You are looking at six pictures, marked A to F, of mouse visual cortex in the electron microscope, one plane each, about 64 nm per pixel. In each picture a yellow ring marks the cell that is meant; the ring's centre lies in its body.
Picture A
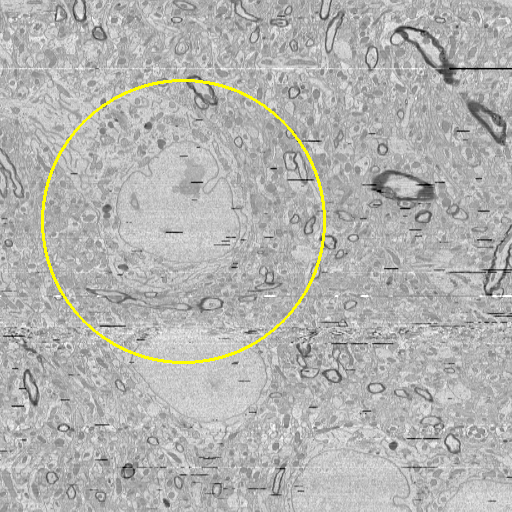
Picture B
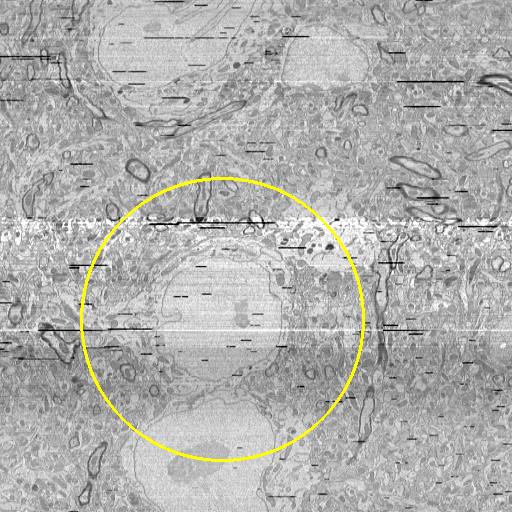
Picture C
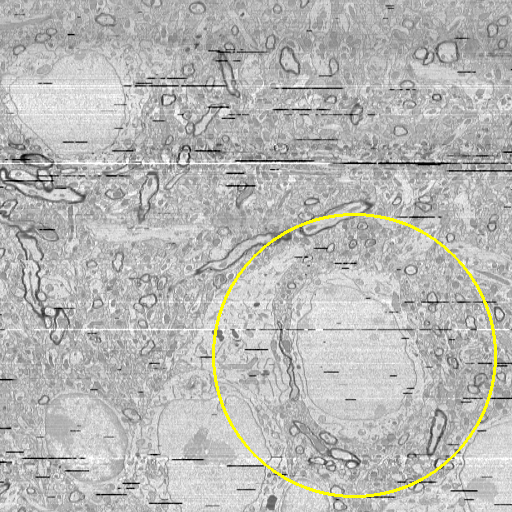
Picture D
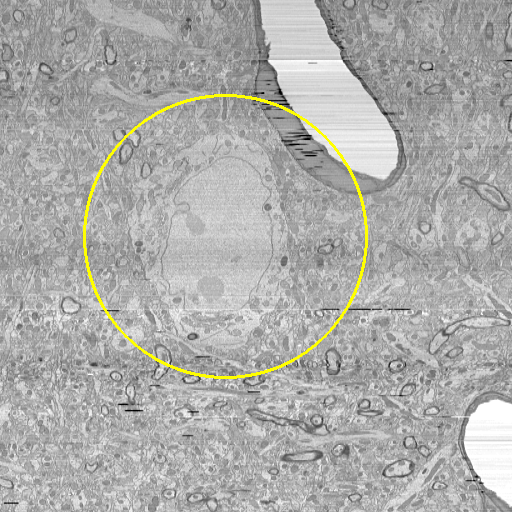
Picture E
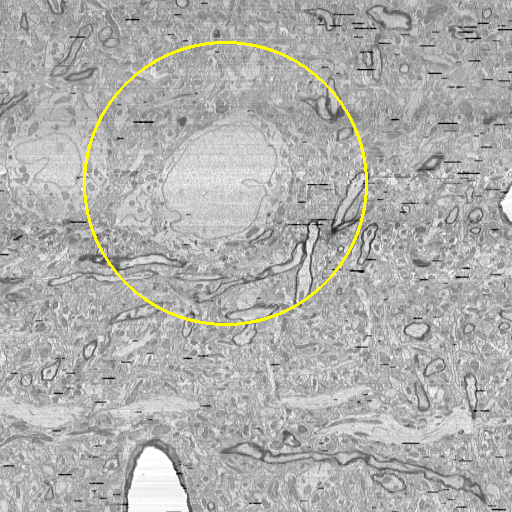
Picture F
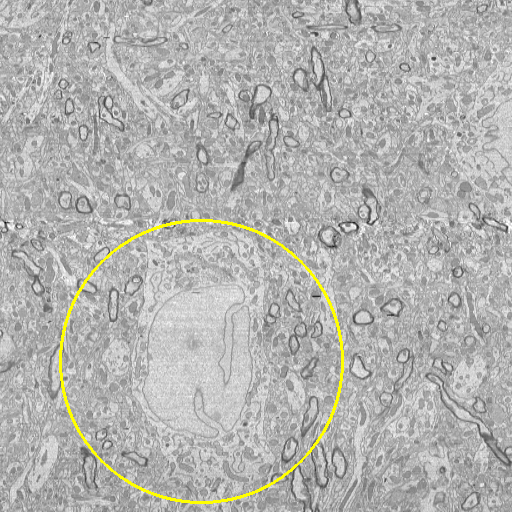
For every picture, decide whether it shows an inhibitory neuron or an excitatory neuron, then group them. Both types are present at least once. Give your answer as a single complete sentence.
Pictures A and F show inhibitory neurons, while pictures B, C, D and E show excitatory neurons.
